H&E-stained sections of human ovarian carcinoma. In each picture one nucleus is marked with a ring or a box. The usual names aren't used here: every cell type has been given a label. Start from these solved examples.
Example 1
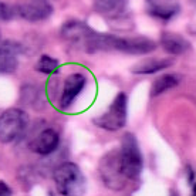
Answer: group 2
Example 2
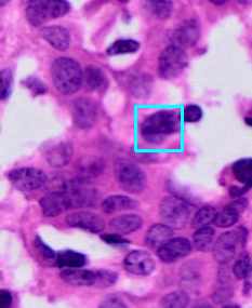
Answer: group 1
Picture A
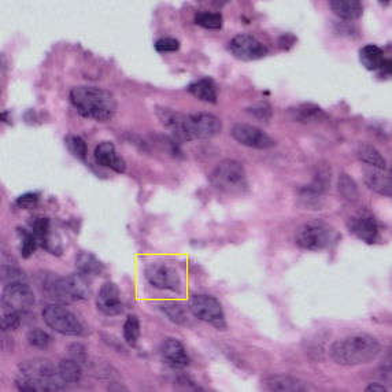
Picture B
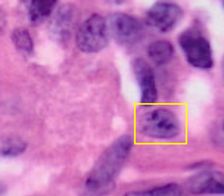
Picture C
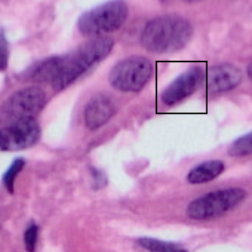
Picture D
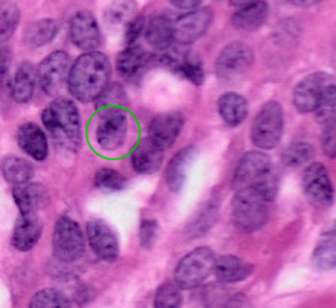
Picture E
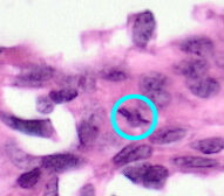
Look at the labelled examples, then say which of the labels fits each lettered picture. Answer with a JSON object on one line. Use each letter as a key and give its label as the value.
{"A": "group 2", "B": "group 2", "C": "group 1", "D": "group 2", "E": "group 1"}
